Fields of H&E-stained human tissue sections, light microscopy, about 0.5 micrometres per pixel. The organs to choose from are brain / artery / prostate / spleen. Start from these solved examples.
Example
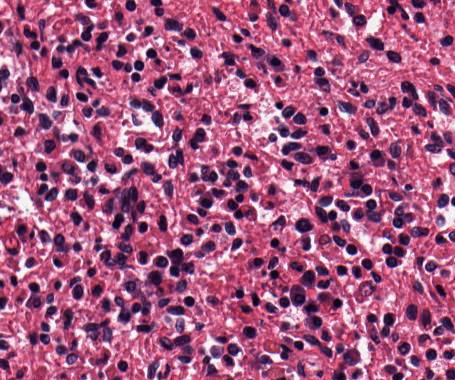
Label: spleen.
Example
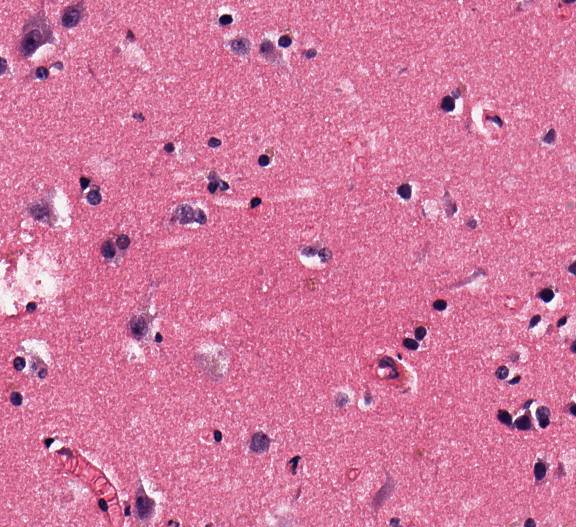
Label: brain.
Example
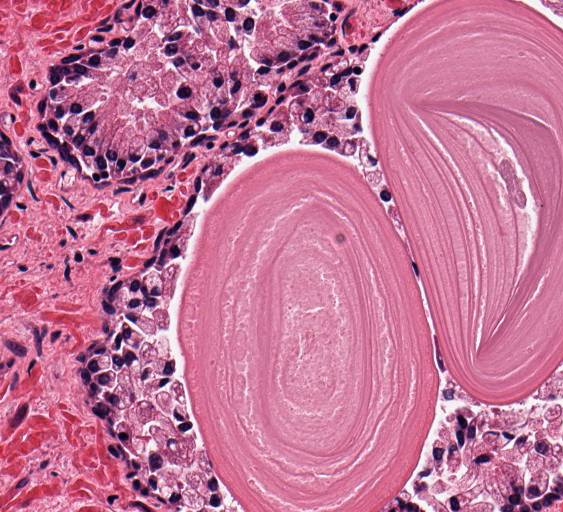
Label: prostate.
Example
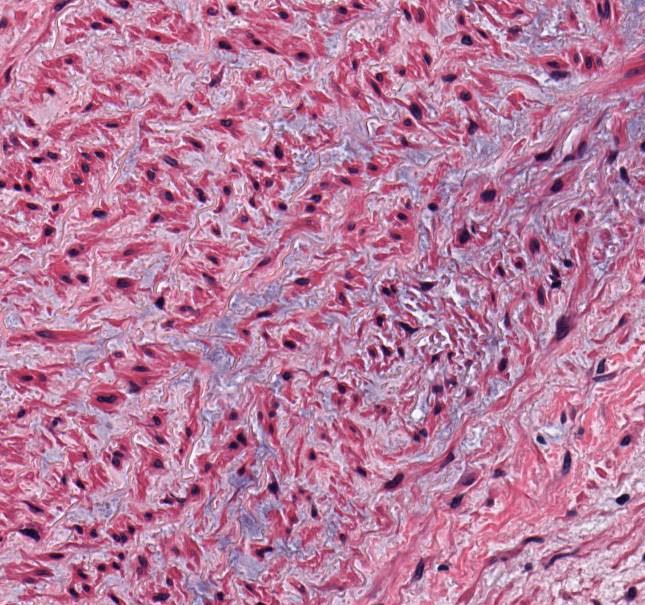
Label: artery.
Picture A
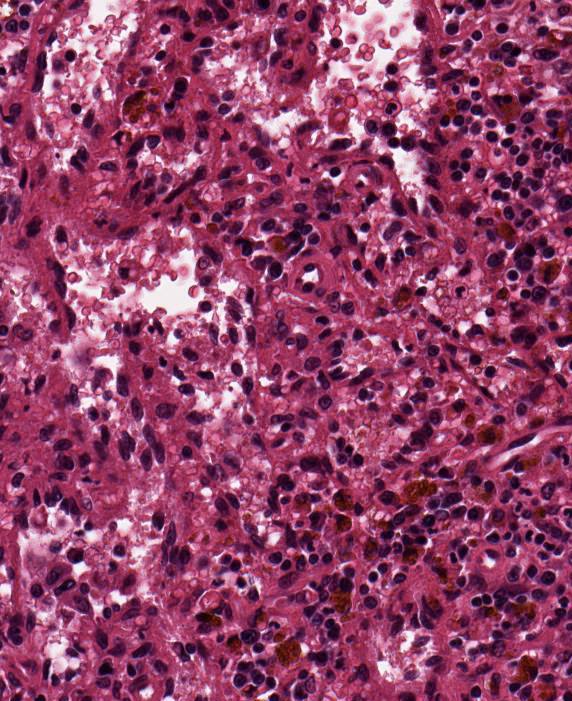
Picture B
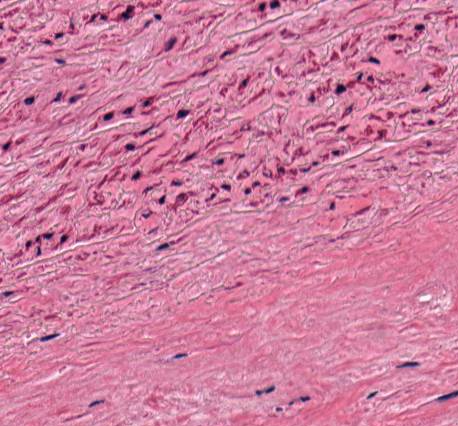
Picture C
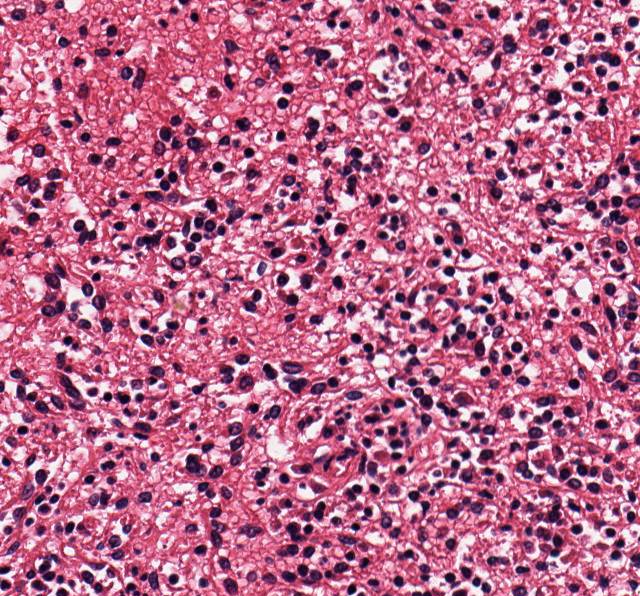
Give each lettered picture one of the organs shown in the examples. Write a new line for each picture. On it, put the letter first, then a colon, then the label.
A: spleen.
B: artery.
C: spleen.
